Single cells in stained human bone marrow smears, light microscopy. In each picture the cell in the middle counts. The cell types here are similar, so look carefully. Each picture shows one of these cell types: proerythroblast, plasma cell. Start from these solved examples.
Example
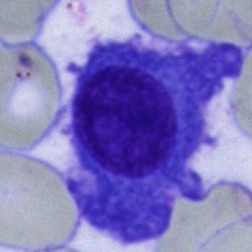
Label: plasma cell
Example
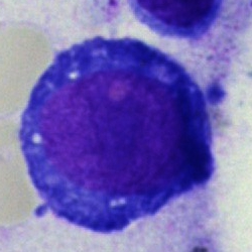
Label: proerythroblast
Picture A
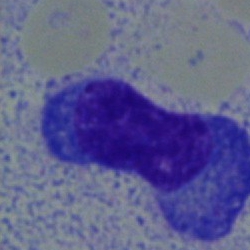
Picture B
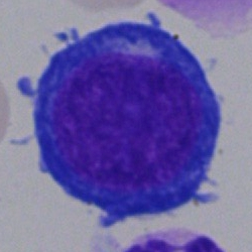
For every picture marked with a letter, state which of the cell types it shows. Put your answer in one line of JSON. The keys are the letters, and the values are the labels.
{"A": "plasma cell", "B": "proerythroblast"}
